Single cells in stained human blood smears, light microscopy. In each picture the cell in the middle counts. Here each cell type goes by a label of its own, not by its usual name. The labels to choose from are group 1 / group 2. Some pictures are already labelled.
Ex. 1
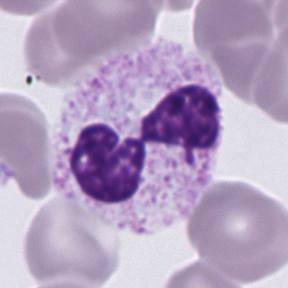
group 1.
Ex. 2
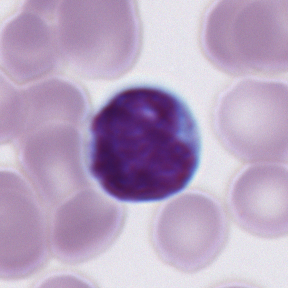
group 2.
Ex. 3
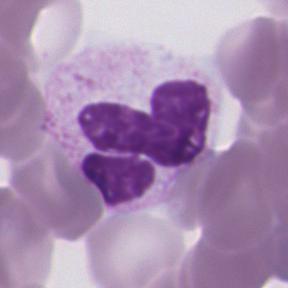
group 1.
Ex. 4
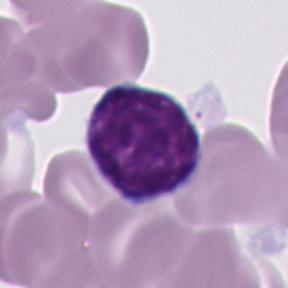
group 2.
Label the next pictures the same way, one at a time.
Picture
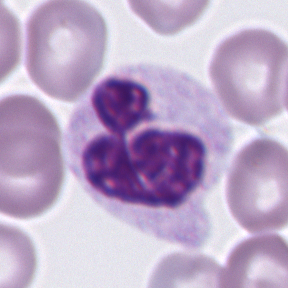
group 1.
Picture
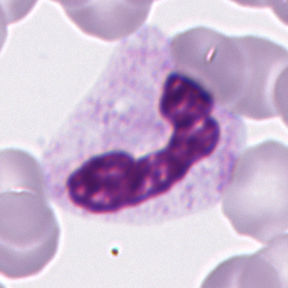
group 1.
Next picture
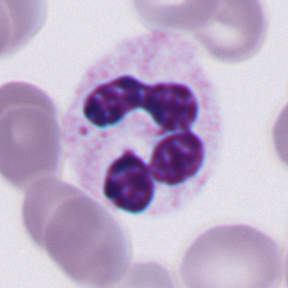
group 1.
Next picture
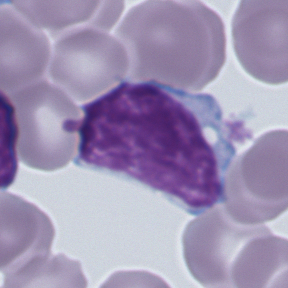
group 2.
